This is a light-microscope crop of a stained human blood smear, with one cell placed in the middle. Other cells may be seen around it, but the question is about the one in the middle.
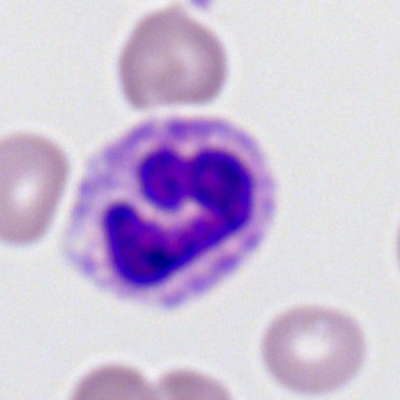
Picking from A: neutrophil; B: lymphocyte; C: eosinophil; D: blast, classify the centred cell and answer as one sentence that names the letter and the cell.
At the centre of the crop lies a neutrophil, which makes option A correct.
